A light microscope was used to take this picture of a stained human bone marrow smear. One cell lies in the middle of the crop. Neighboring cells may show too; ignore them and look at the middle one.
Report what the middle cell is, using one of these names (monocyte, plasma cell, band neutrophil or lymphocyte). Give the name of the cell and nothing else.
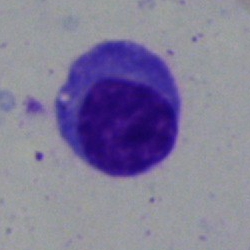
plasma cell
